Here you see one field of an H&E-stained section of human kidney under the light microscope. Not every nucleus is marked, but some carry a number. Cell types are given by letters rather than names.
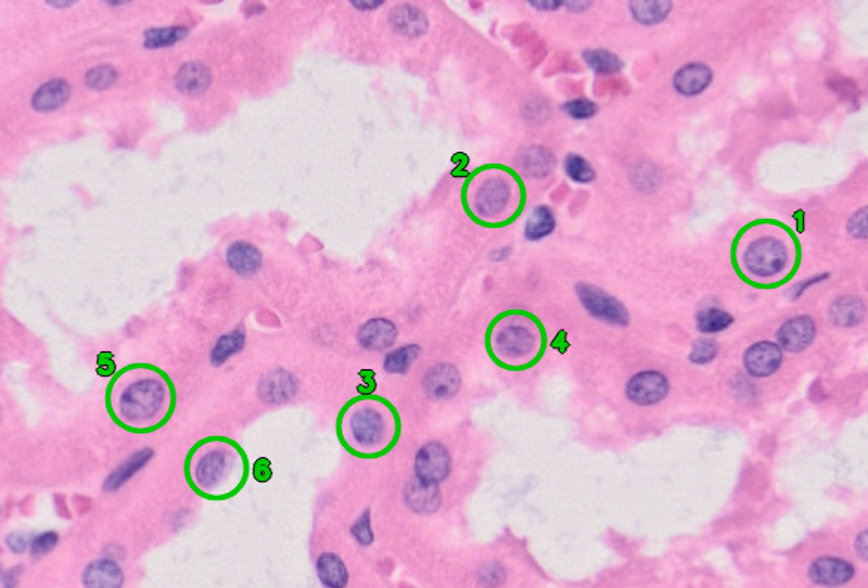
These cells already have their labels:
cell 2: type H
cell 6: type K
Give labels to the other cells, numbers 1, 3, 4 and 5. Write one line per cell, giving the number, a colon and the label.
1: type H
3: type K
4: type H
5: type H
